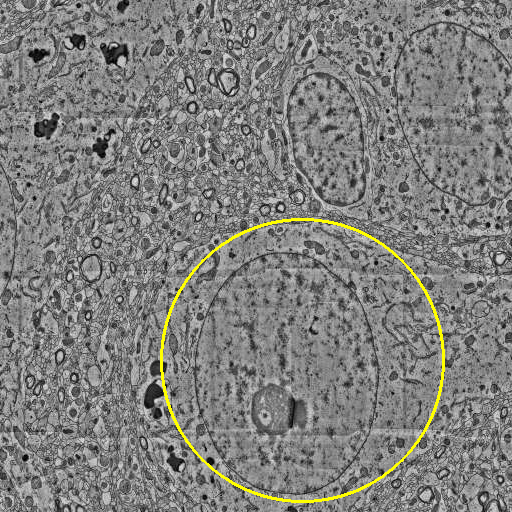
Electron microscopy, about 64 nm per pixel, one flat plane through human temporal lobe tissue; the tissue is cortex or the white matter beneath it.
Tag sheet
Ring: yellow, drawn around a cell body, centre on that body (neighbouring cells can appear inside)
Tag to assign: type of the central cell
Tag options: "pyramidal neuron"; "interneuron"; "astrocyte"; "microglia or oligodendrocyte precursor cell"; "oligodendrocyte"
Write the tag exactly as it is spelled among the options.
pyramidal neuron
